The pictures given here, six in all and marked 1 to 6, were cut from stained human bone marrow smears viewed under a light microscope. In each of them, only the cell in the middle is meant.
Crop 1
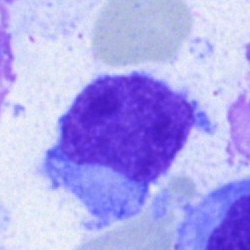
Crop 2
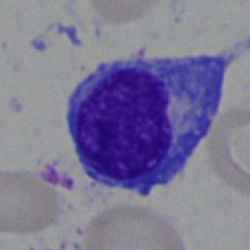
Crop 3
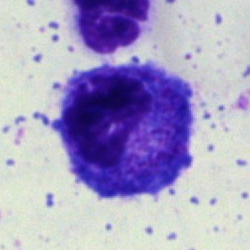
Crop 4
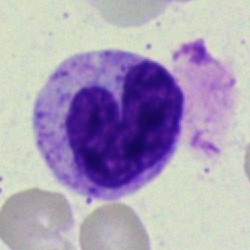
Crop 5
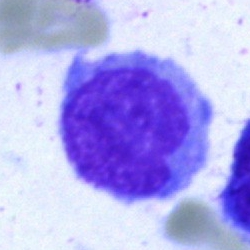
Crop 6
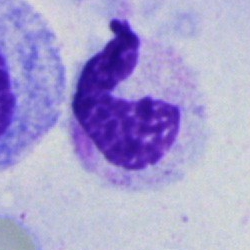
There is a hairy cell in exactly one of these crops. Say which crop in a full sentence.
The one that shows a hairy cell is crop 1.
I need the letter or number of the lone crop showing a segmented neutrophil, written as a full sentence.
Of these crops, it is crop 6 that shows a segmented neutrophil.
